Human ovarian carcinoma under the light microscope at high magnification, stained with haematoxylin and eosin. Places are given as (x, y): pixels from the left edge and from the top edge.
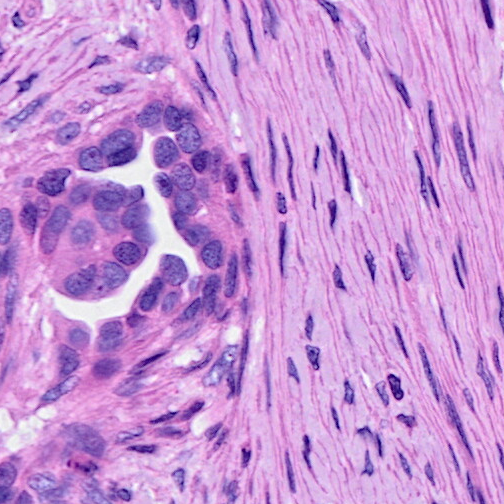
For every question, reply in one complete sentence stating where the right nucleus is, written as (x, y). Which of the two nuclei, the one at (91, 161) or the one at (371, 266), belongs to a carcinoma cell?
The one at (91, 161) is the nucleus belonging to a carcinoma cell, not the other one.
